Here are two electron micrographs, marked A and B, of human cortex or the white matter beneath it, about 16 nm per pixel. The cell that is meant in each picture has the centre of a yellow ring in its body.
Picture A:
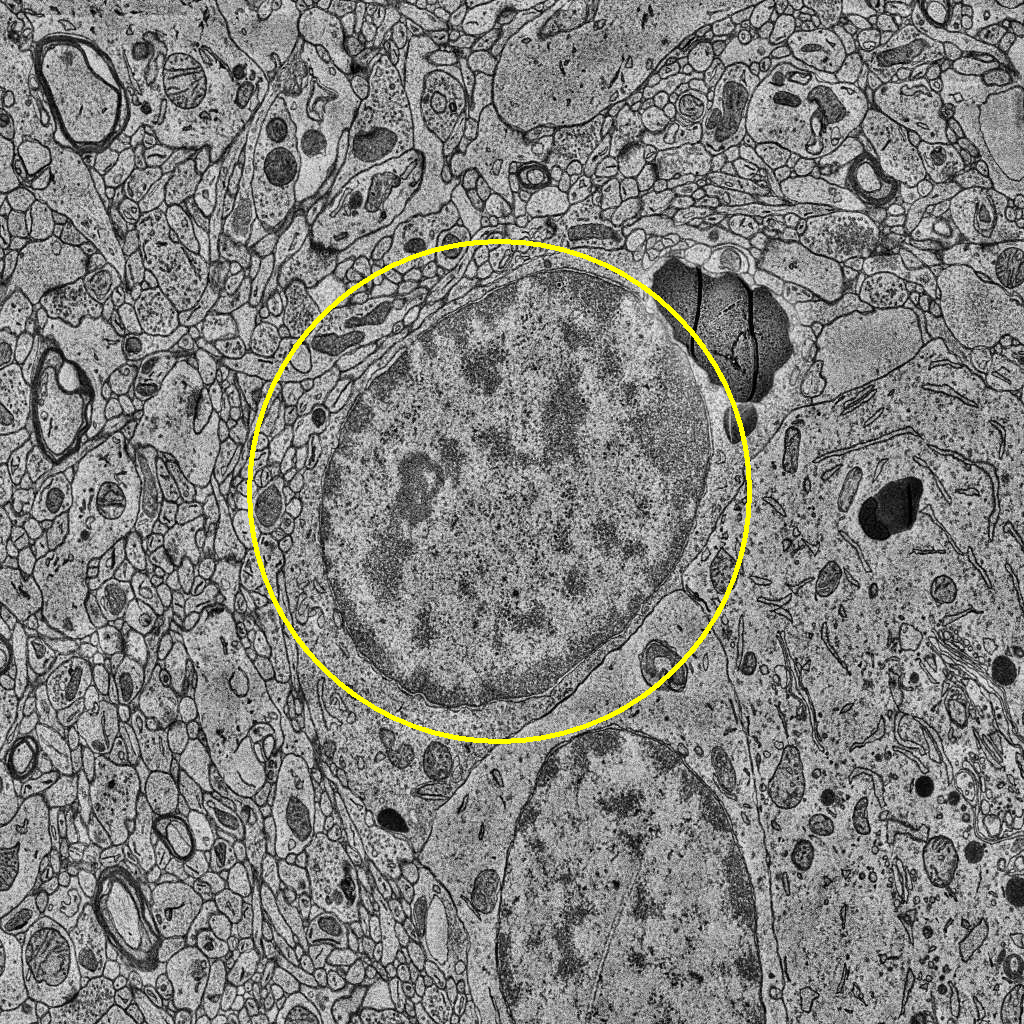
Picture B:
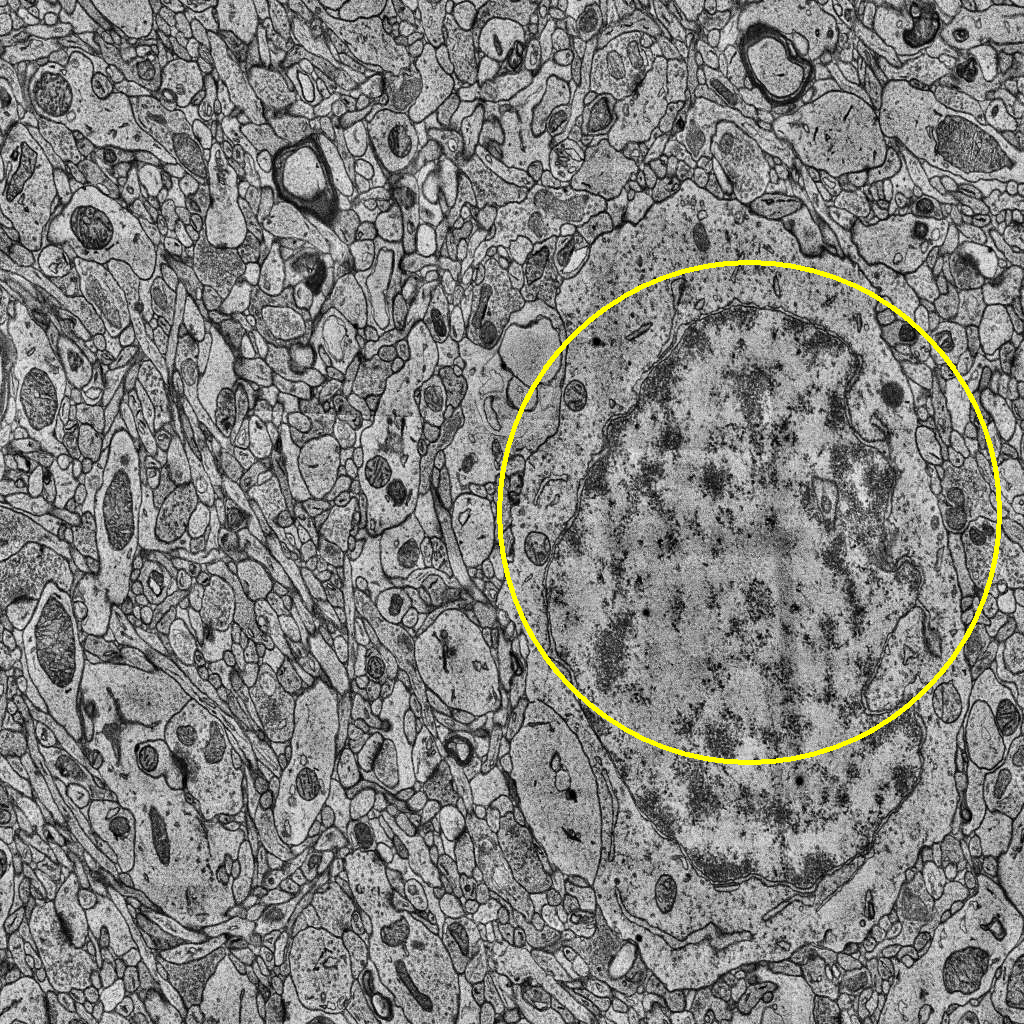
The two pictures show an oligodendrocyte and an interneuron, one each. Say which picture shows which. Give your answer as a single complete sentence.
Picture B shows an interneuron, while picture A shows an oligodendrocyte.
